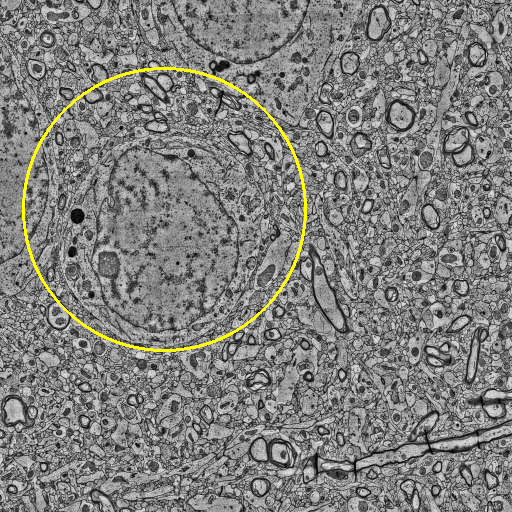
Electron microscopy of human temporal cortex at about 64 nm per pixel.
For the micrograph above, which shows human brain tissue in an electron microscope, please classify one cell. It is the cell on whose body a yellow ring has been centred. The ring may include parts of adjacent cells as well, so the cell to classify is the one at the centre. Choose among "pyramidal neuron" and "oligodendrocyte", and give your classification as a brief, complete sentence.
I classify this cell as a pyramidal neuron.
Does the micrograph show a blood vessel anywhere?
No, the image shows no blood vessel.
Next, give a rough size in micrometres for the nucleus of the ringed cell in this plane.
In this plane, approximately 12 by 10 micrometers.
